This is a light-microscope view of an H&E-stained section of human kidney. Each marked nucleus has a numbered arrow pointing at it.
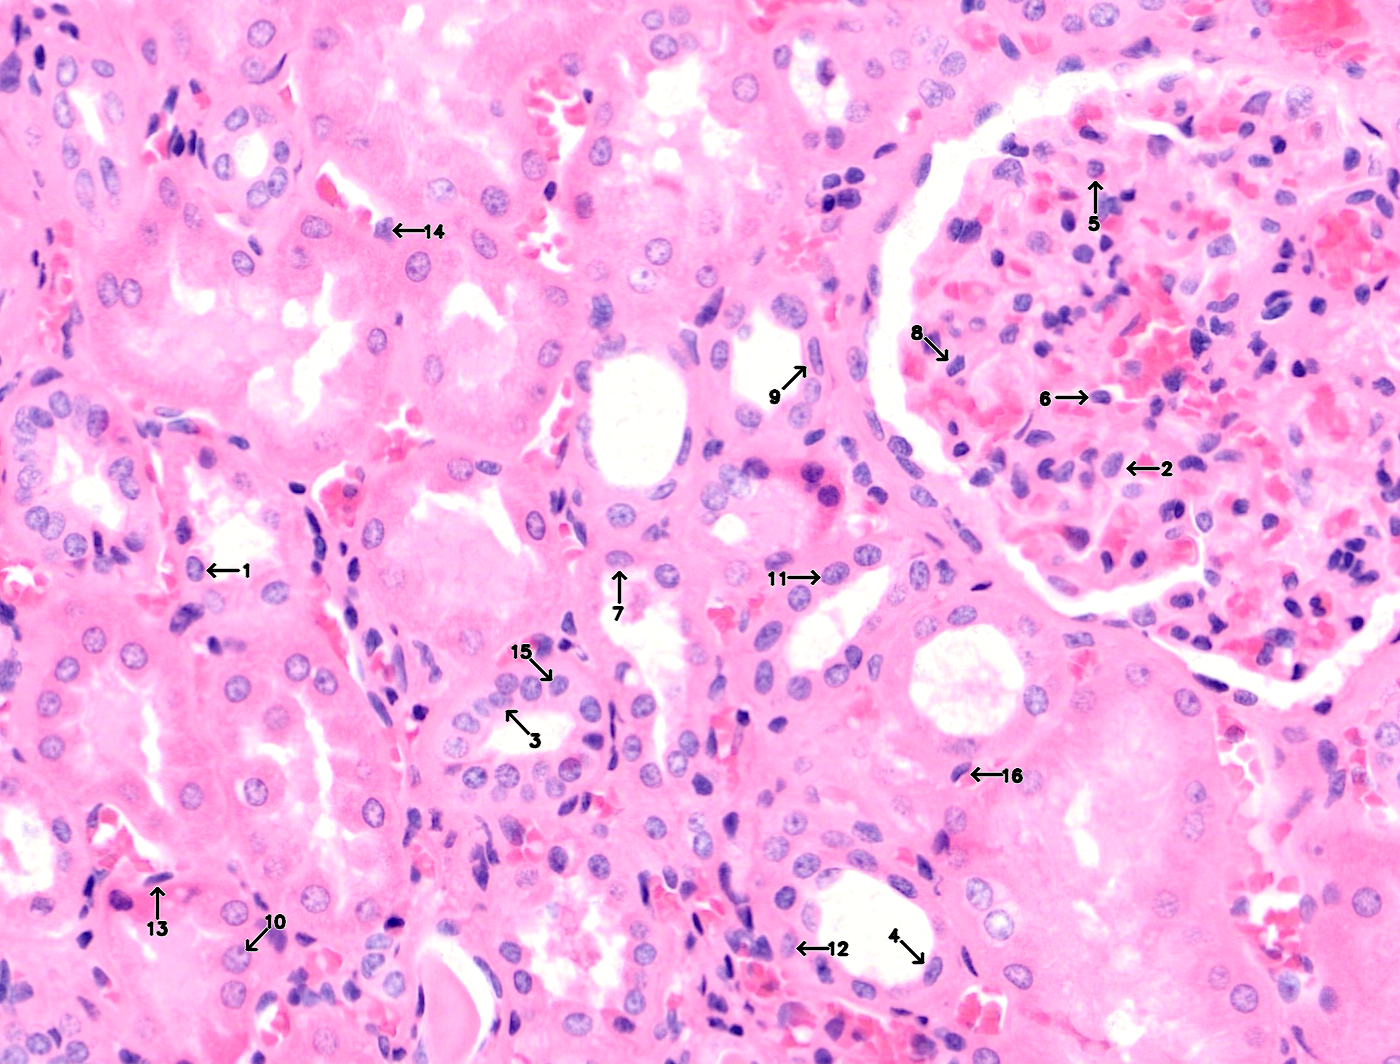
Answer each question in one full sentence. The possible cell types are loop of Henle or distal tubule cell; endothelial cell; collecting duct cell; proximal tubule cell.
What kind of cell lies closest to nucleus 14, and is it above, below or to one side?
The nearest nucleus is that of a proximal tubule cell and lies below and to the right of nucleus 14.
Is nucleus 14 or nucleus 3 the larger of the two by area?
The larger nucleus is 14, at roughly 1.5 times the area of 3.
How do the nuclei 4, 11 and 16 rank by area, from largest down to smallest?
From largest to smallest, the order is 11, 4, 16.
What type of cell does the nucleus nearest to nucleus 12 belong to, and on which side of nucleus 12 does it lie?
The closest nucleus belongs to an endothelial cell and sits to the left of nucleus 12.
